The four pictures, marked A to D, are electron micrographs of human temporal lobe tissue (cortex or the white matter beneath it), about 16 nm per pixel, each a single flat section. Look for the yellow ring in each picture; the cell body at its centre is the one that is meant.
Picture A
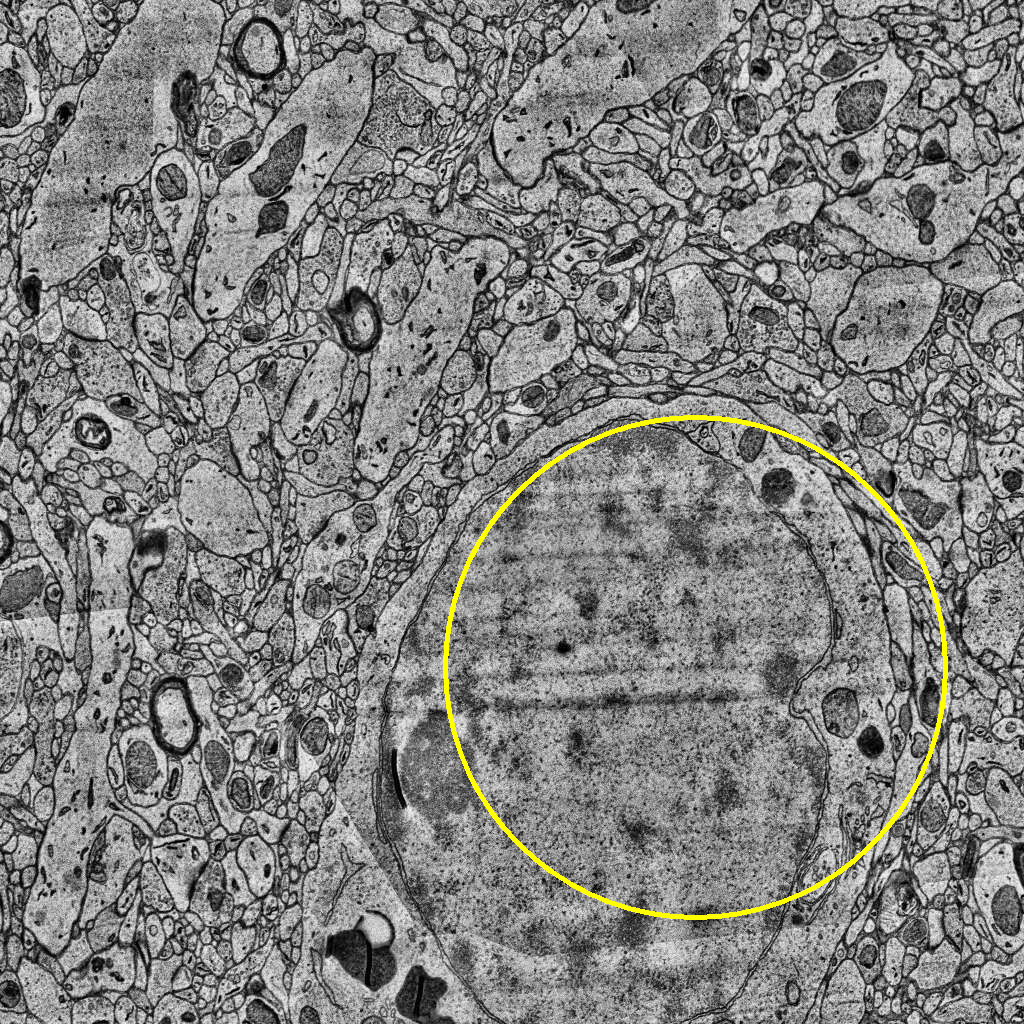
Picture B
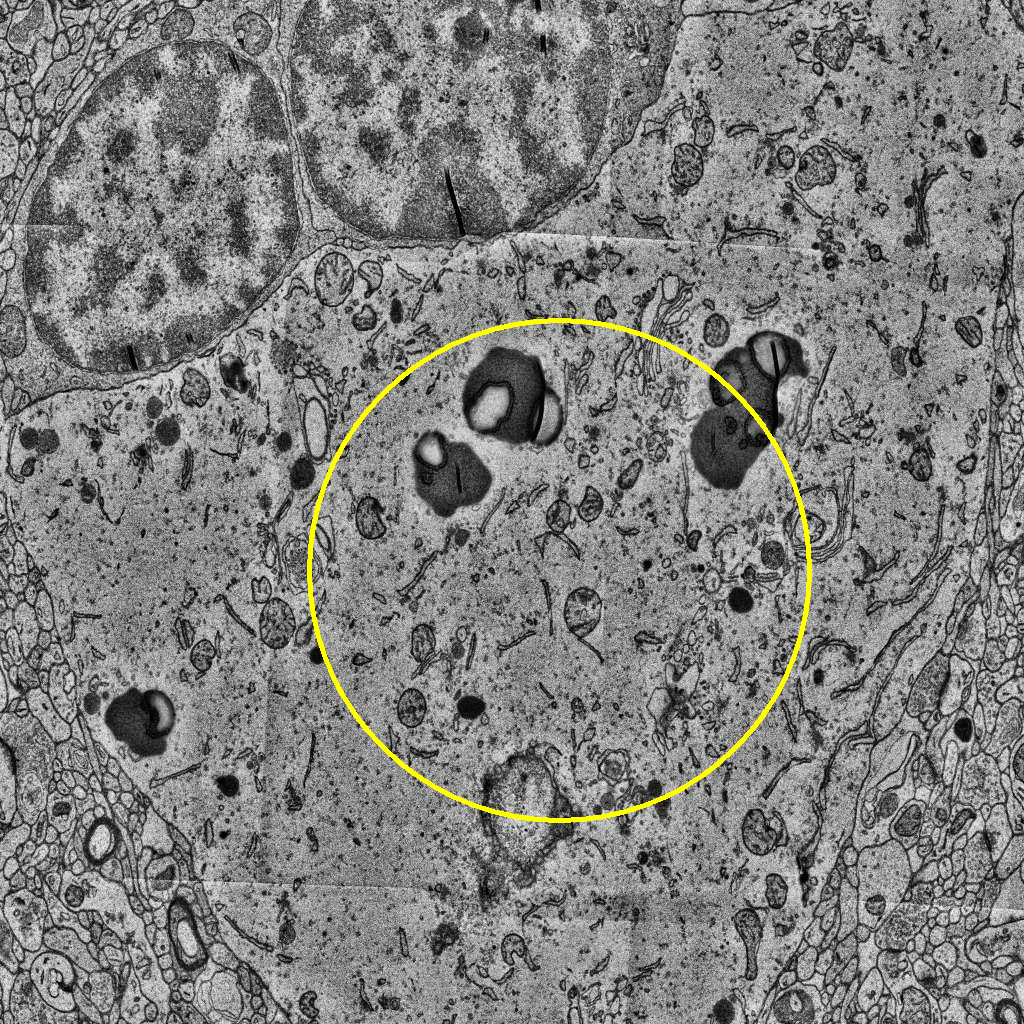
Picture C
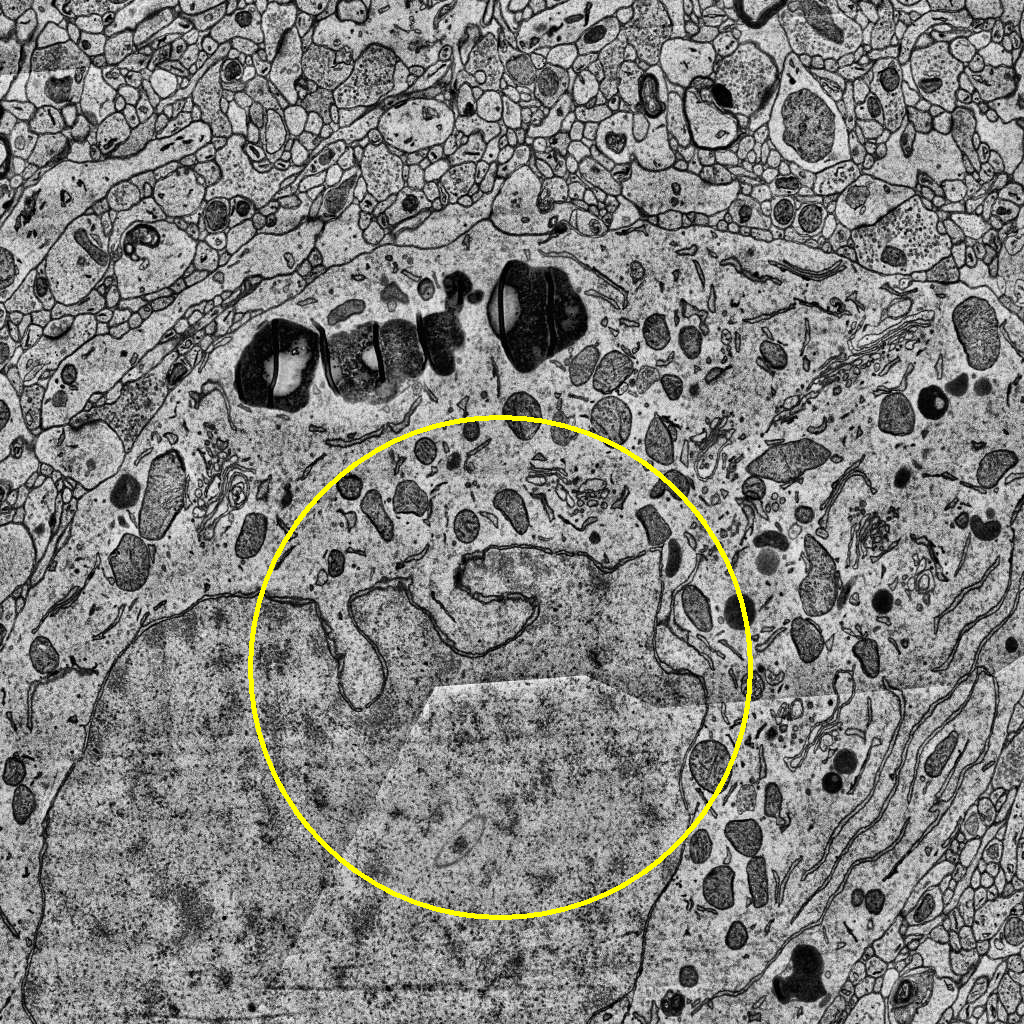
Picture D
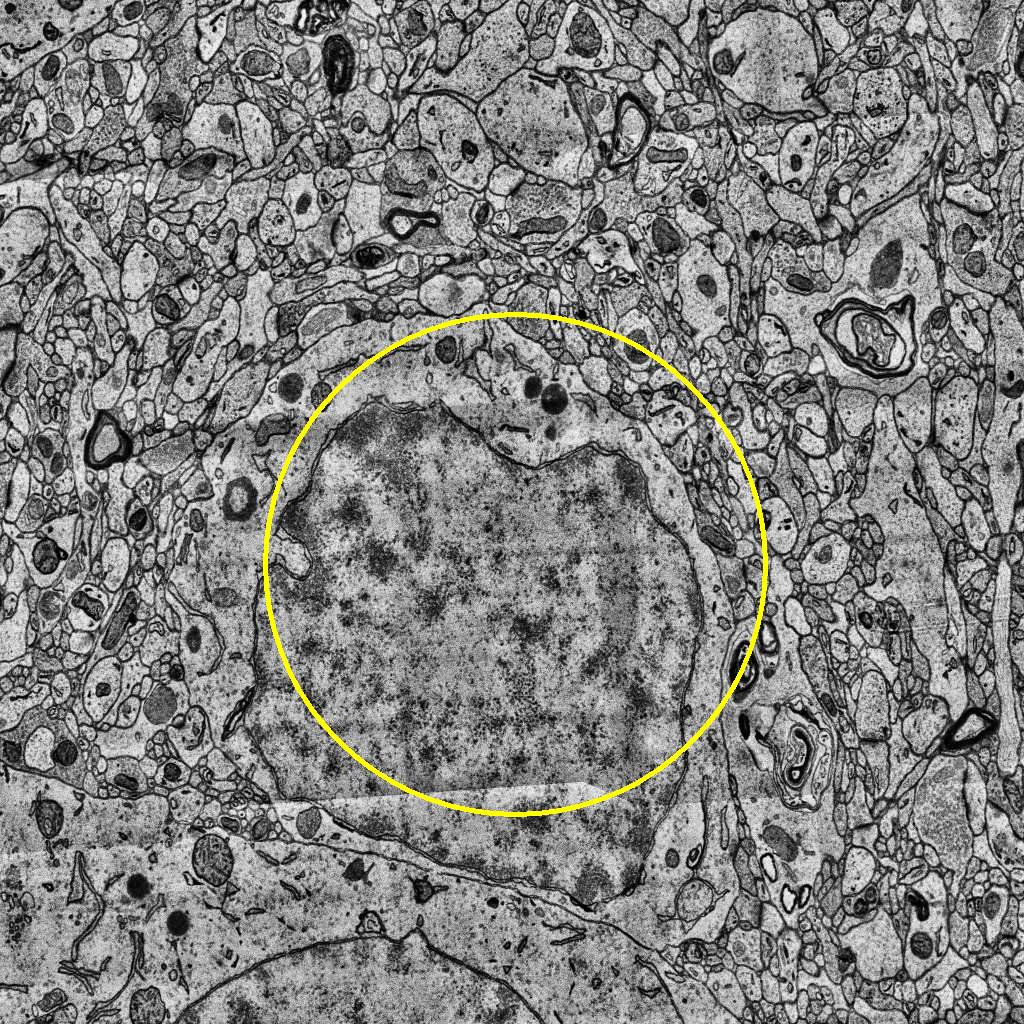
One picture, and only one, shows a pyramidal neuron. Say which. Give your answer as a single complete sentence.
The cell in picture B is the pyramidal neuron.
